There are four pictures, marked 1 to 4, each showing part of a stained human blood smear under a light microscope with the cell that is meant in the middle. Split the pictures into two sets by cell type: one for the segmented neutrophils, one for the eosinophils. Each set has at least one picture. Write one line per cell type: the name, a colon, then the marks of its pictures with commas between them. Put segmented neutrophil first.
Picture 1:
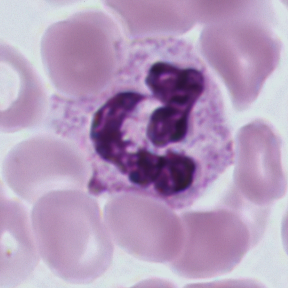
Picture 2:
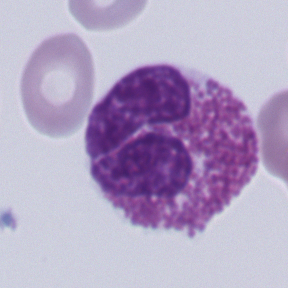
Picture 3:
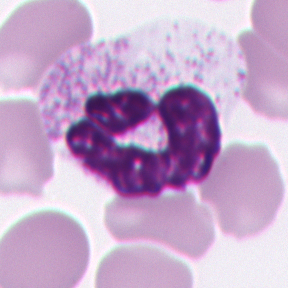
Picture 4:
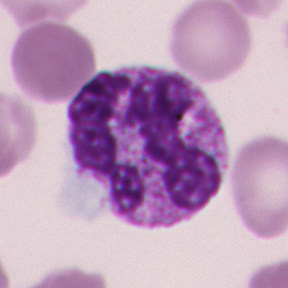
segmented neutrophil: 1, 3, 4
eosinophil: 2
